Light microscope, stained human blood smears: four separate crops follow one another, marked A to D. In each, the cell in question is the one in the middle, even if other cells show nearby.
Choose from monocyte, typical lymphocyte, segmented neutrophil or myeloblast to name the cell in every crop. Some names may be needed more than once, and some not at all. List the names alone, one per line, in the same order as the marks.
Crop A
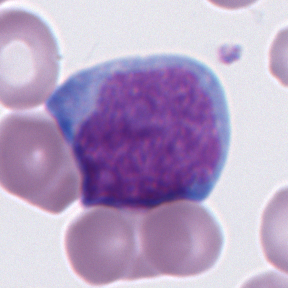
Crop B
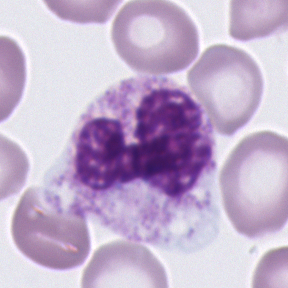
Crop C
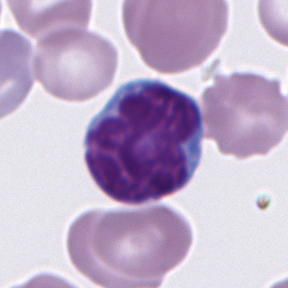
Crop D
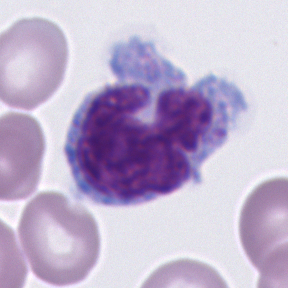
myeloblast
segmented neutrophil
typical lymphocyte
monocyte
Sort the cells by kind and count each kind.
myeloblast: 1
segmented neutrophil: 1
typical lymphocyte: 1
monocyte: 1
